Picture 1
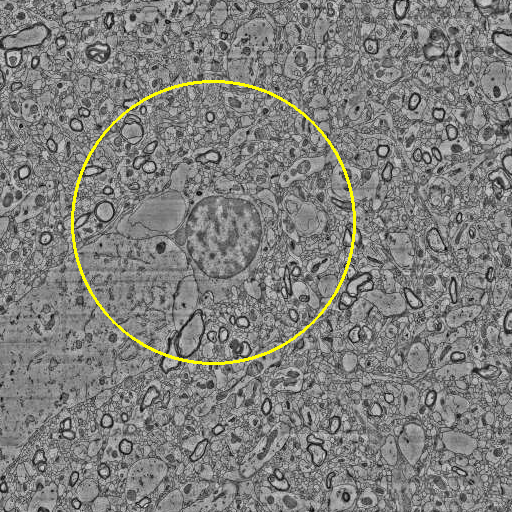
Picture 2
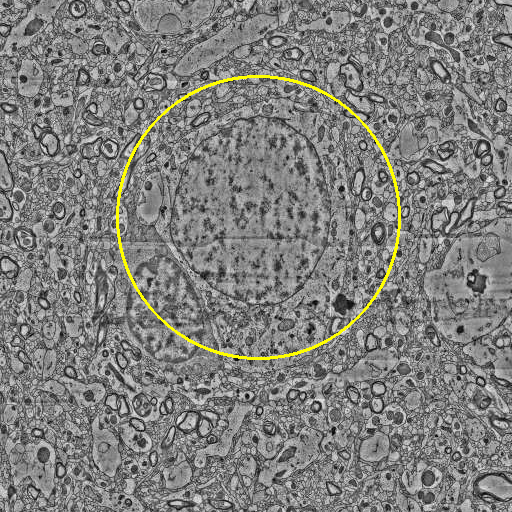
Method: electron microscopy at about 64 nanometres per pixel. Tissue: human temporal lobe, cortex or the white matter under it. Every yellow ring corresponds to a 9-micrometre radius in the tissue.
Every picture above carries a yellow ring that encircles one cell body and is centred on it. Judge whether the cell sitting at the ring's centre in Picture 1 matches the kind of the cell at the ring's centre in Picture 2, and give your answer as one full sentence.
No, the cells centred in the rings of Pictures 1 and 2 belong to two kinds.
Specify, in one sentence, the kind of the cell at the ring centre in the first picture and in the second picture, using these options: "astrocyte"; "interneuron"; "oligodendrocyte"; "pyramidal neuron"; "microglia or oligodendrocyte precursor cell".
So the first is an oligodendrocyte, the second a pyramidal neuron.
